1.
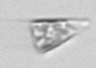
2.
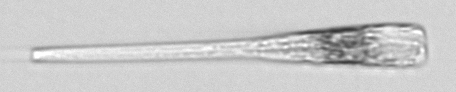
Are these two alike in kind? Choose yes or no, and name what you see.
Yes. Licmophora.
